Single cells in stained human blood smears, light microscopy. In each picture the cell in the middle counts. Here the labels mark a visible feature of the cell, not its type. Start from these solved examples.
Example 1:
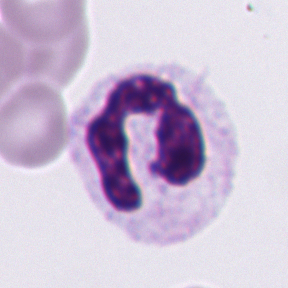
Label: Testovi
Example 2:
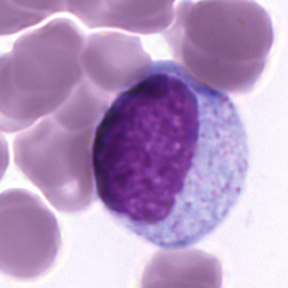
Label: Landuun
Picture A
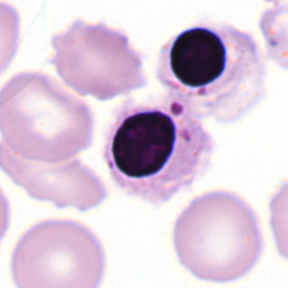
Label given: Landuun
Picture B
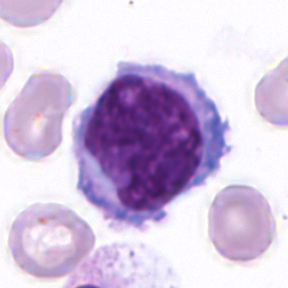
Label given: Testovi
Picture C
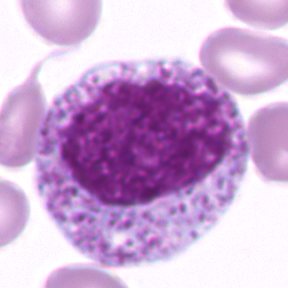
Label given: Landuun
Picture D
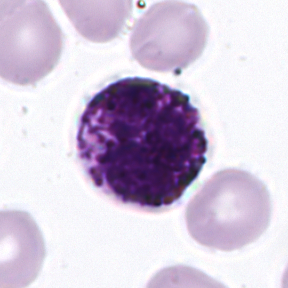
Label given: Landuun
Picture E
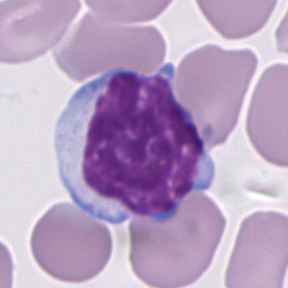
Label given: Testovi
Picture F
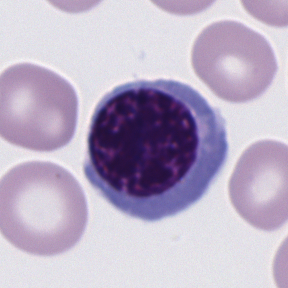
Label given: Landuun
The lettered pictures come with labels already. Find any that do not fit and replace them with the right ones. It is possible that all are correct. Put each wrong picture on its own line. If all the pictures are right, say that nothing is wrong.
A: Testovi, not Landuun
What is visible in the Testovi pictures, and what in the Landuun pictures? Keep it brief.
Seen in Testovi: ragged outline or projections; seen in Landuun: smooth outline.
